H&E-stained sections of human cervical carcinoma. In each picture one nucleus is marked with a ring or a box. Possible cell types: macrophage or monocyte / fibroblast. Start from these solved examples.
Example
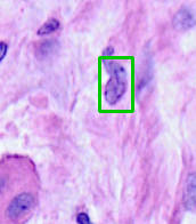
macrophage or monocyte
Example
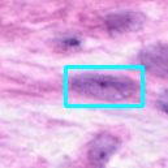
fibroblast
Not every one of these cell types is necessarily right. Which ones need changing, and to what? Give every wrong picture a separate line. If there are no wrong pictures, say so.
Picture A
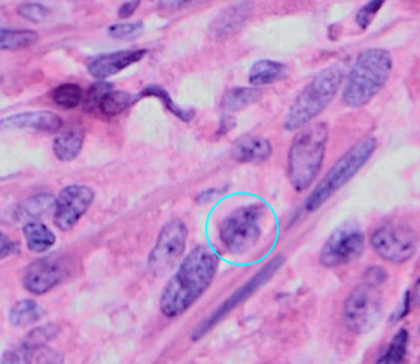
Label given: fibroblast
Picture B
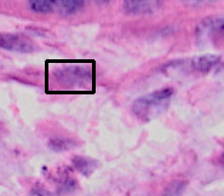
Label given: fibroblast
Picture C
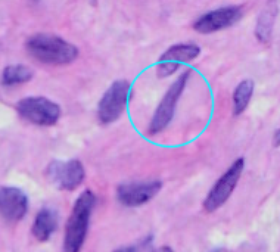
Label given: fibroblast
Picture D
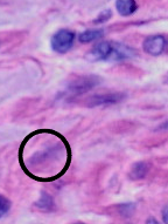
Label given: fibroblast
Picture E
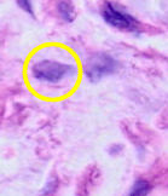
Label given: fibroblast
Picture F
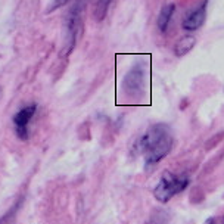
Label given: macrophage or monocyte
Wrong: A (fibroblast); correct: macrophage or monocyte
Wrong: F (macrophage or monocyte); correct: fibroblast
